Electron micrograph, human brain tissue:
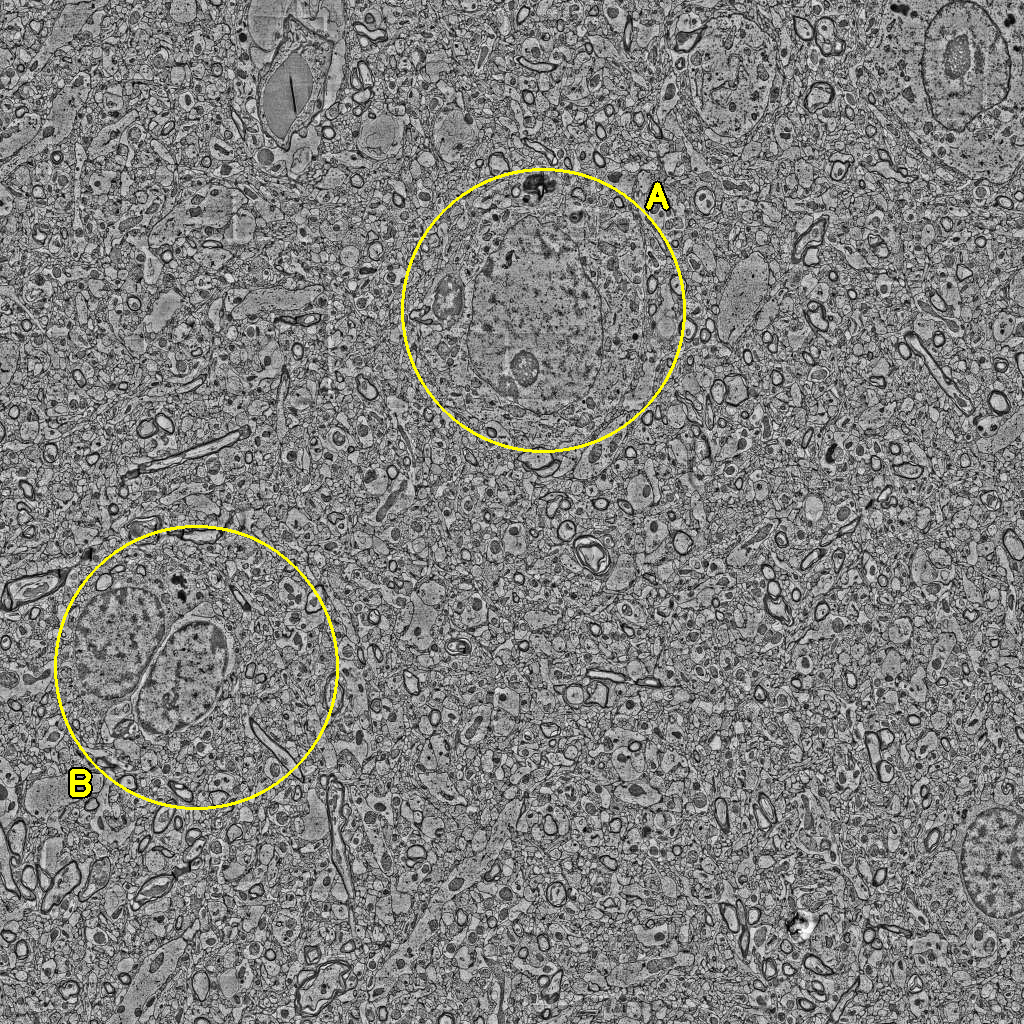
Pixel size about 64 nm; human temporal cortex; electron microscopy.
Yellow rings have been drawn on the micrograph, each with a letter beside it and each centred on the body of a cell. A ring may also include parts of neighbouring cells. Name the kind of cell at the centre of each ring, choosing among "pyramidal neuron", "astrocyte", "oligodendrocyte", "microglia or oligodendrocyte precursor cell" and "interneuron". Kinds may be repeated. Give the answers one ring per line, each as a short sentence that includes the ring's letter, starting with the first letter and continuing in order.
Ring A is placed on an interneuron.
Ring B is placed on a microglial cell or oligodendrocyte precursor cell.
